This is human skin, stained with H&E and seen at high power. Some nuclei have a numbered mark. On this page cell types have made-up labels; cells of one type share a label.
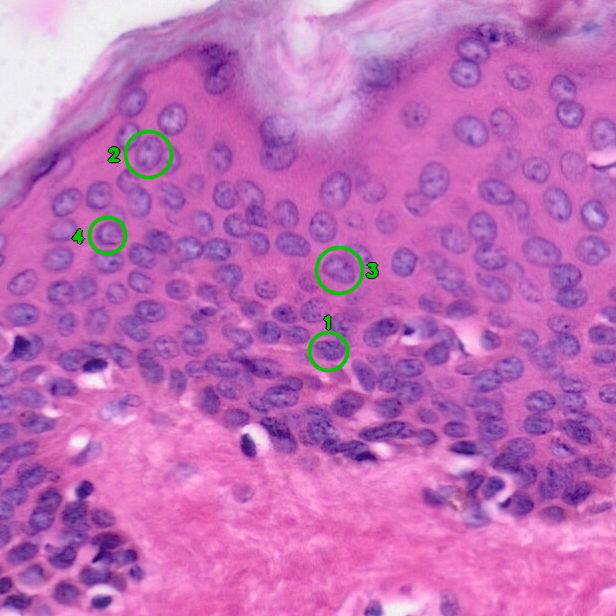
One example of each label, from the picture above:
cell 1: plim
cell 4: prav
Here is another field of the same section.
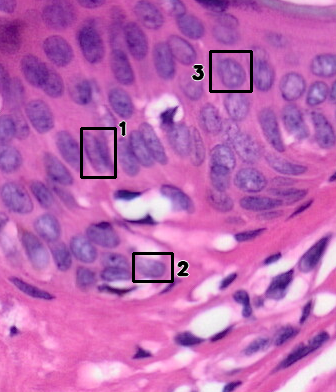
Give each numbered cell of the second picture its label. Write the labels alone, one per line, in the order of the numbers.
plim
plim
prav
